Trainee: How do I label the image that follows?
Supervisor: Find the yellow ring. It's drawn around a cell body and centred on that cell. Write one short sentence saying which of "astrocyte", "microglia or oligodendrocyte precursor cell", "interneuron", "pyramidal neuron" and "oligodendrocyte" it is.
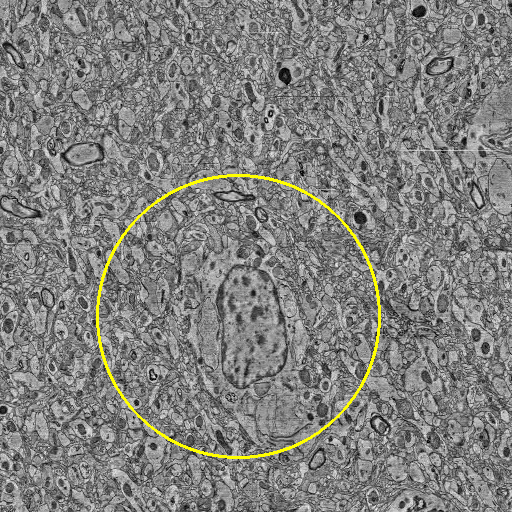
This is the cell body of an astrocyte.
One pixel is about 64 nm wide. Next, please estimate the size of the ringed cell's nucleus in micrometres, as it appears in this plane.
In this plane the nucleus spans approximately 8 by 4 micrometers.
